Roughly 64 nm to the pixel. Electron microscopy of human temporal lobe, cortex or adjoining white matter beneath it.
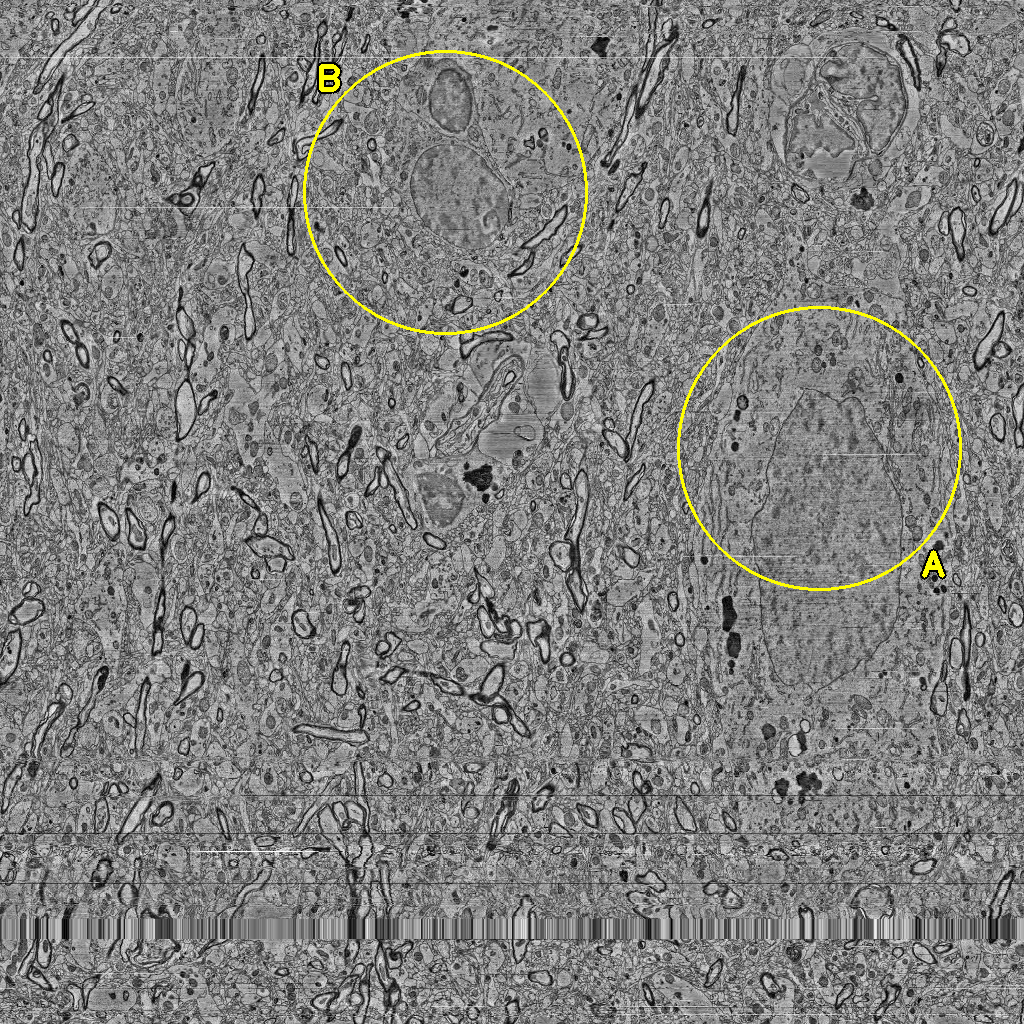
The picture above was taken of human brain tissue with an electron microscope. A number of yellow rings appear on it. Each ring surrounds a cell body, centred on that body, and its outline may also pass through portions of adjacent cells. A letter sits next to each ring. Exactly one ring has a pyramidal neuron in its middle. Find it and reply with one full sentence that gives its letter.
Letter A labels the ring whose centre falls on a cell of that kind.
